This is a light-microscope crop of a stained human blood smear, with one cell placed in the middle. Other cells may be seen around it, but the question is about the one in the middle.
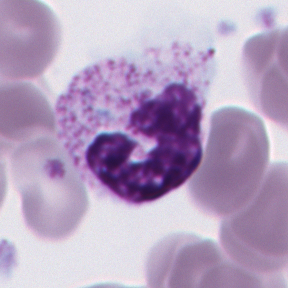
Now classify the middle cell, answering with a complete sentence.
The cell featured at the centre of this crop is a segmented neutrophil.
